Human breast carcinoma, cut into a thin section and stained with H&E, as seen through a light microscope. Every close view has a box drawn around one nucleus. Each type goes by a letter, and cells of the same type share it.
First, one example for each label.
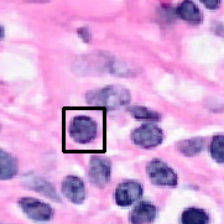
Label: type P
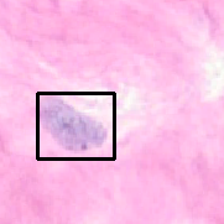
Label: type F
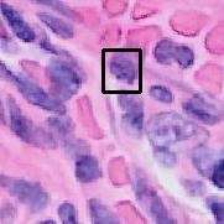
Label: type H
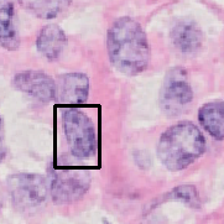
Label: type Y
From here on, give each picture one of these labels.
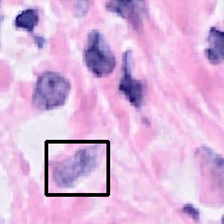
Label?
type F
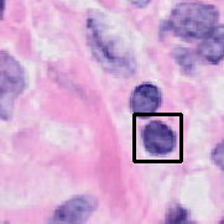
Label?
type Y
